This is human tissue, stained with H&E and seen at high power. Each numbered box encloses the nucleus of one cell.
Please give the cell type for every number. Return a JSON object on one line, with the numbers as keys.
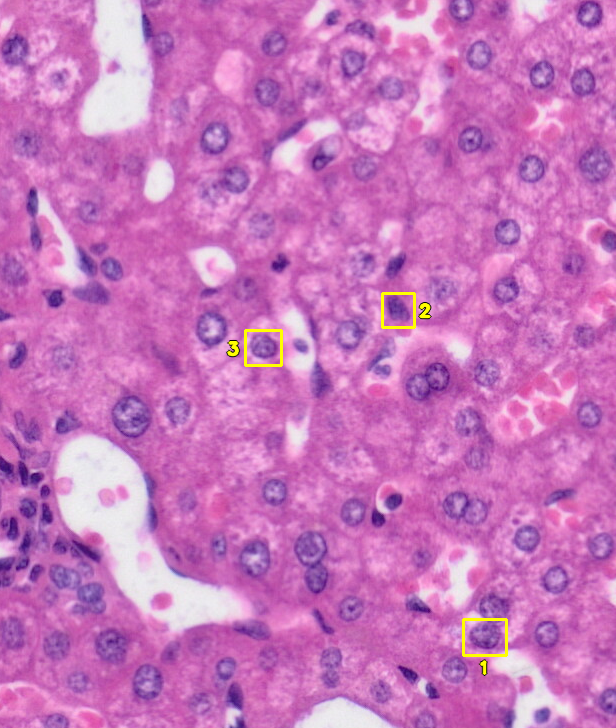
{"1": "hepatocyte", "2": "fibroblast or stellate cell", "3": "hepatocyte"}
